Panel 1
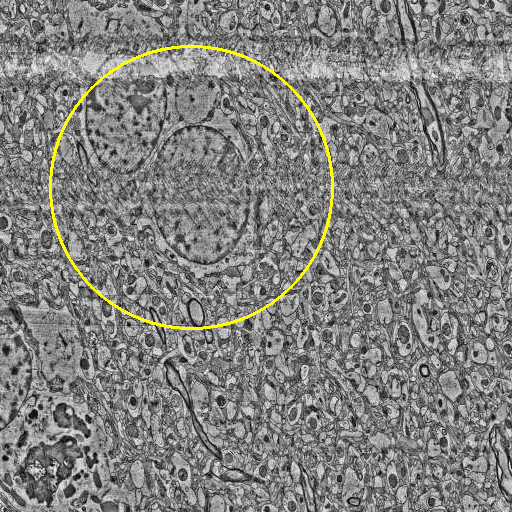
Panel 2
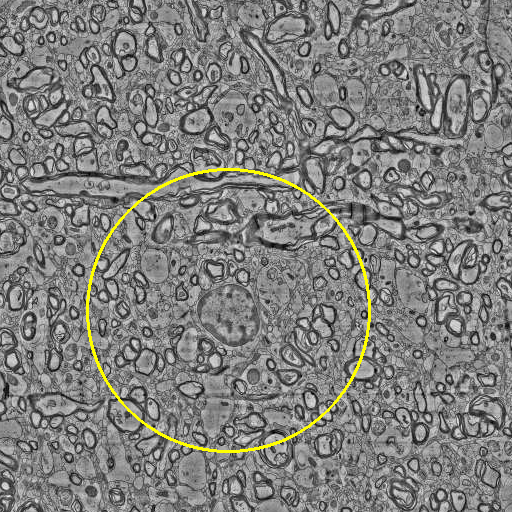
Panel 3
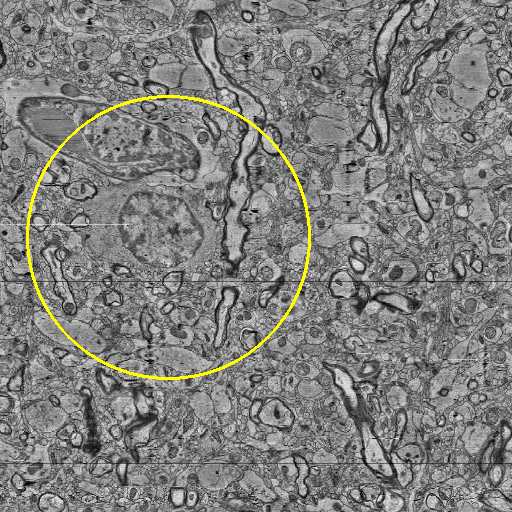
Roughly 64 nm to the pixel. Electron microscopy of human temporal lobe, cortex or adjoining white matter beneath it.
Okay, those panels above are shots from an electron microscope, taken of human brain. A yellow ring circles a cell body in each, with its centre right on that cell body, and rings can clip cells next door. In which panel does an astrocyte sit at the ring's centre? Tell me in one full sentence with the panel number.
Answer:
The cell you asked for sits at the ring's centre in panel 1.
